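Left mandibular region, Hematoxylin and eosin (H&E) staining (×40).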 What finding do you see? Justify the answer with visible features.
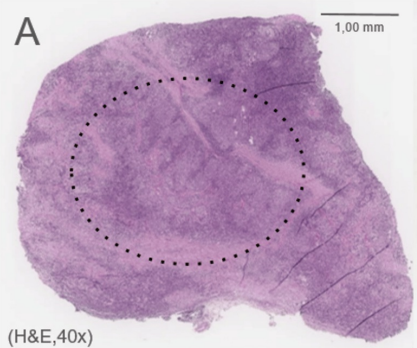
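The section is filled by a dense purple cellular infiltrate. No normal organized structures are recognizable apart from pink fibrous bands. The answer: effacement of the normal tissue architecture.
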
